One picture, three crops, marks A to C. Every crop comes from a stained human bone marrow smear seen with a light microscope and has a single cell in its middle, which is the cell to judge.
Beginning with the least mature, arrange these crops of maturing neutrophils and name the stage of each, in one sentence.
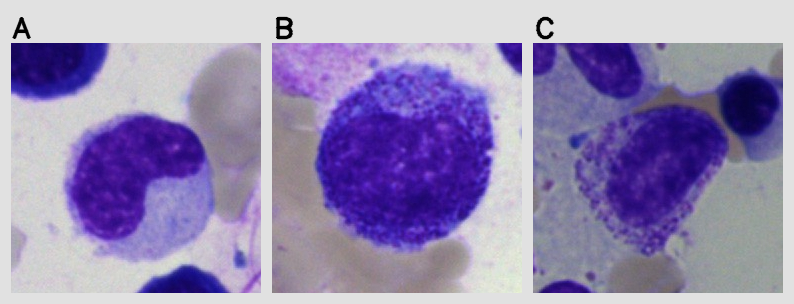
Ranked from the least mature cell to the most mature, they are crop B (a promyelocyte), crop C (a myelocyte) and crop A (a metamyelocyte).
